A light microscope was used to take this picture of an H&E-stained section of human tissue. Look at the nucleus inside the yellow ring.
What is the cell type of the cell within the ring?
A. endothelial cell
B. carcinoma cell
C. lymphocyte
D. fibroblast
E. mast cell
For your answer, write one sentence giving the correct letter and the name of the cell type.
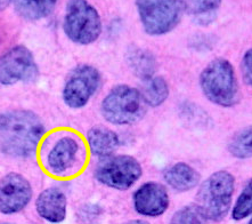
Option B describes the cell within the ring accurately as a carcinoma cell.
